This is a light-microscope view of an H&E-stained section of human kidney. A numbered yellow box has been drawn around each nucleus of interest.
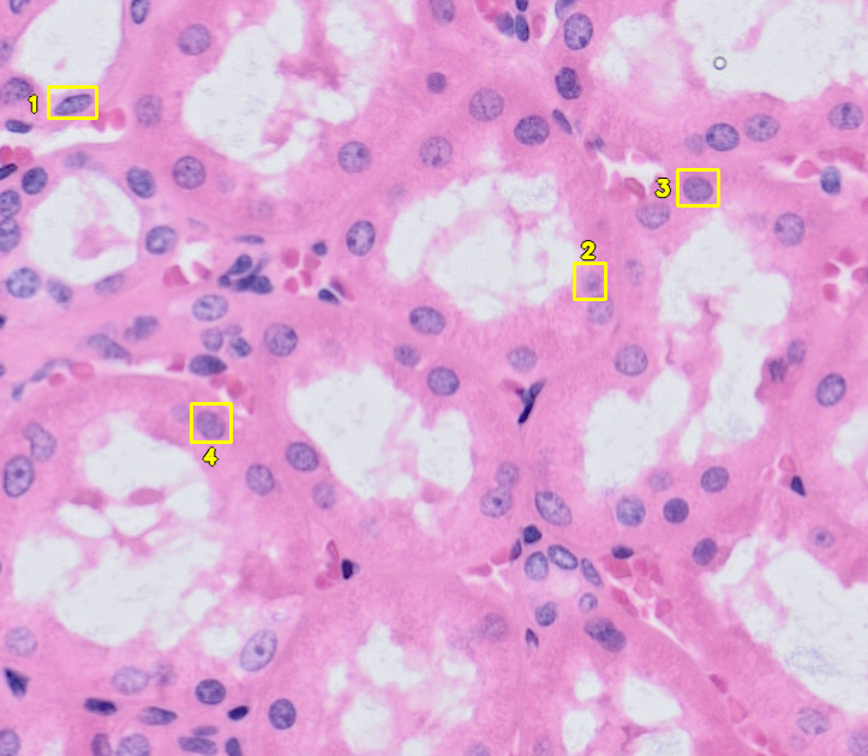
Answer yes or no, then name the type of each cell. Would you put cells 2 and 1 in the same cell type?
No, cell 2 is a proximal tubule cell and cell 1 is a collecting duct cell.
